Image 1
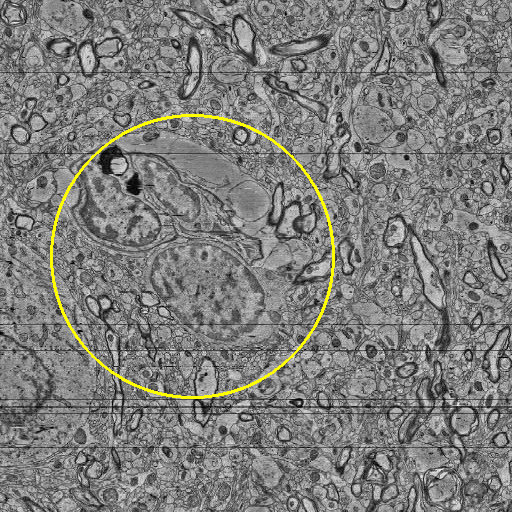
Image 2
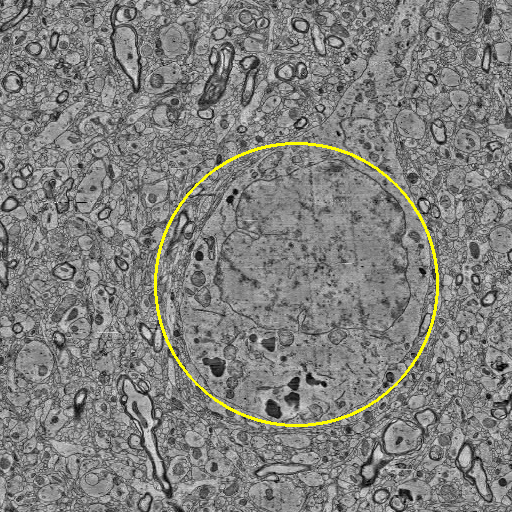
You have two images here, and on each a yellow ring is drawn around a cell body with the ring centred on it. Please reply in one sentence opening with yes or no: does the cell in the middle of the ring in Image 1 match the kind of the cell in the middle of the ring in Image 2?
No, the two images show cells of two kinds at the centres of their rings.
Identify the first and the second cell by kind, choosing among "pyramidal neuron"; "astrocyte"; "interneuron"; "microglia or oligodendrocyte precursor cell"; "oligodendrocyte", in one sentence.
The one in the first picture is an oligodendrocyte, while the one in the second is a pyramidal neuron.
